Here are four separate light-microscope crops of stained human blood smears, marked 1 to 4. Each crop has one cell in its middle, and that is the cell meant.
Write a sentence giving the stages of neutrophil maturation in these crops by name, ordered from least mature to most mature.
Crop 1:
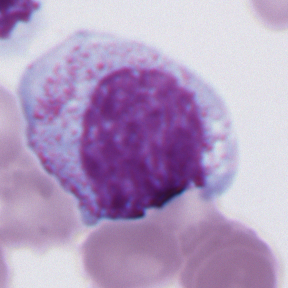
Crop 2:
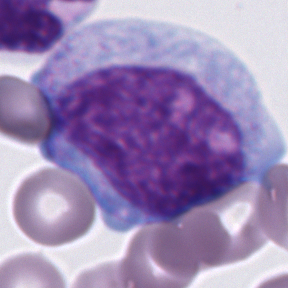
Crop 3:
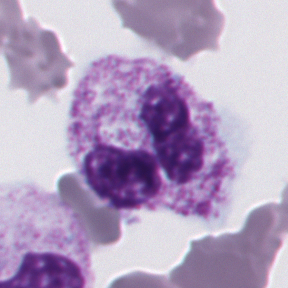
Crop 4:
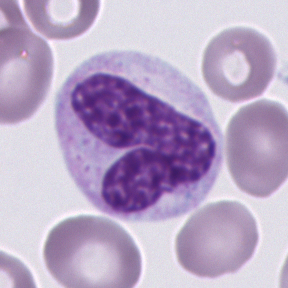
Maturity order, least to most: crop 2 (a promyelocyte), crop 1 (a myelocyte), crop 4 (a band neutrophil) and crop 3 (a segmented neutrophil).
